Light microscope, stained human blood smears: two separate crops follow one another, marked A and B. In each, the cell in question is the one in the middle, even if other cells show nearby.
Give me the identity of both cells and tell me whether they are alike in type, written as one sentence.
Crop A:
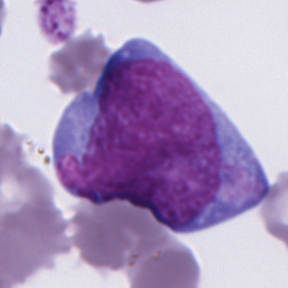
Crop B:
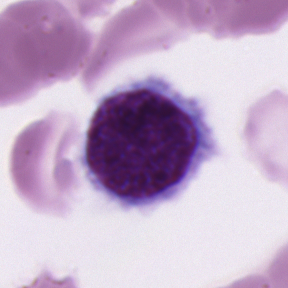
No, a myeloblast is the cell in crop A; a hairy cell is the cell in crop B.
